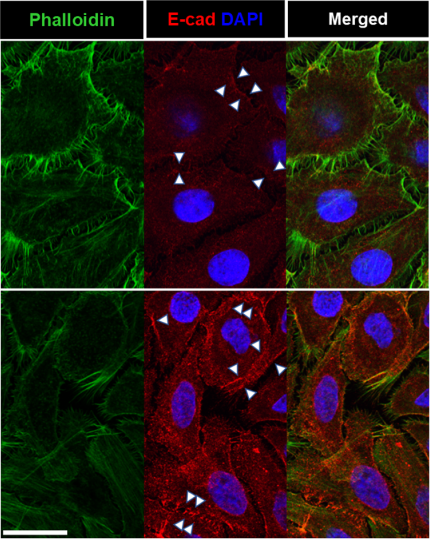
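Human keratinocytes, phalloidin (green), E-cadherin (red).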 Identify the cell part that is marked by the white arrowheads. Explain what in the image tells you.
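The white arrowheads point to thin red lines running along the edges between neighbouring cells. The red lines outline the cell borders around blue nuclei.
Answer: membrane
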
